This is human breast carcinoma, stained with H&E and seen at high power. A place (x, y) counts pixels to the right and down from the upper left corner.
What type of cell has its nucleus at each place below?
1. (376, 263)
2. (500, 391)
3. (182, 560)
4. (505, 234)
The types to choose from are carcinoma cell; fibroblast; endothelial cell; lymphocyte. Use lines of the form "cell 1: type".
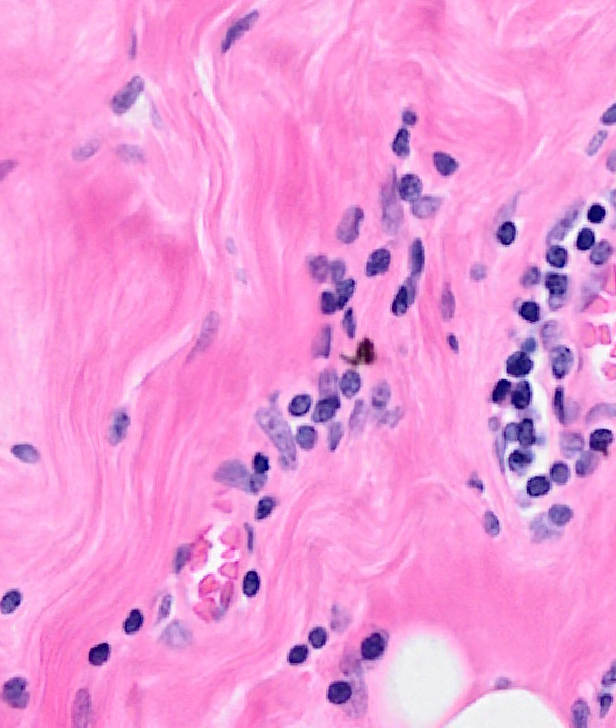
cell 1: lymphocyte
cell 2: lymphocyte
cell 3: endothelial cell
cell 4: lymphocyte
